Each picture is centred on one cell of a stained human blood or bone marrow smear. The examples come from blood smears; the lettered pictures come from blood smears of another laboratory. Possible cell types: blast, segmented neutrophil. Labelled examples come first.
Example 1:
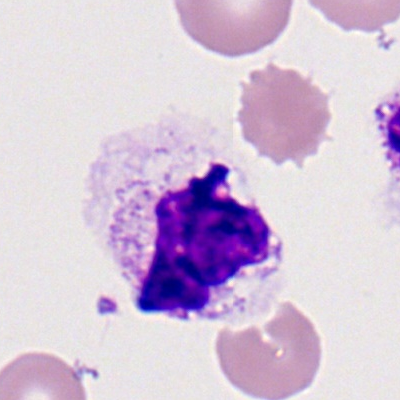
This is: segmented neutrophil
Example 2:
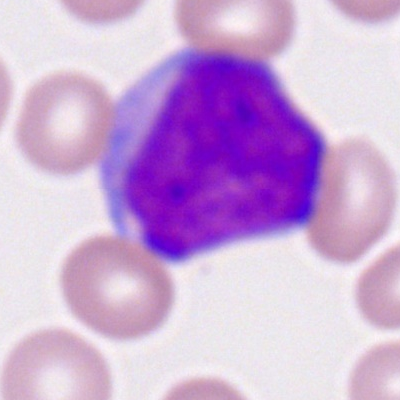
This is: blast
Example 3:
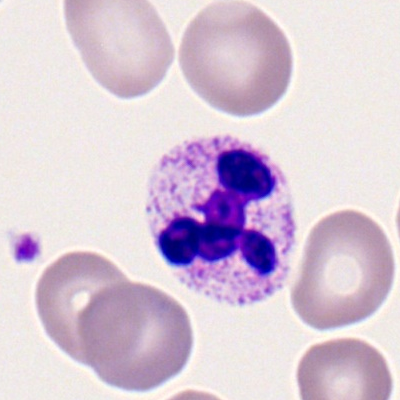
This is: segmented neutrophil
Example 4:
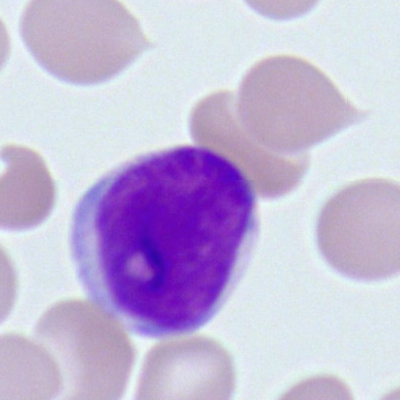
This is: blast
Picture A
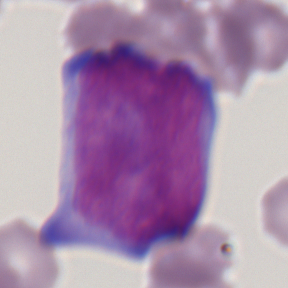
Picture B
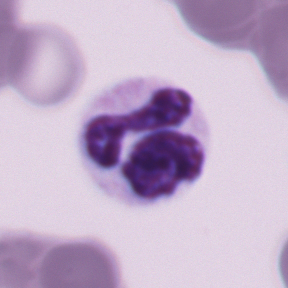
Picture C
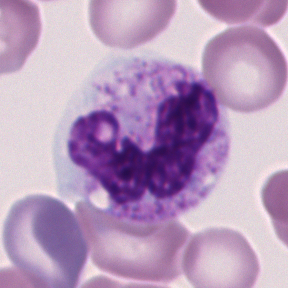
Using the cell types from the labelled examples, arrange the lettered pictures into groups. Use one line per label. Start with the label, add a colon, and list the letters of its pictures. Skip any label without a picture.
blast: A
segmented neutrophil: B, C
